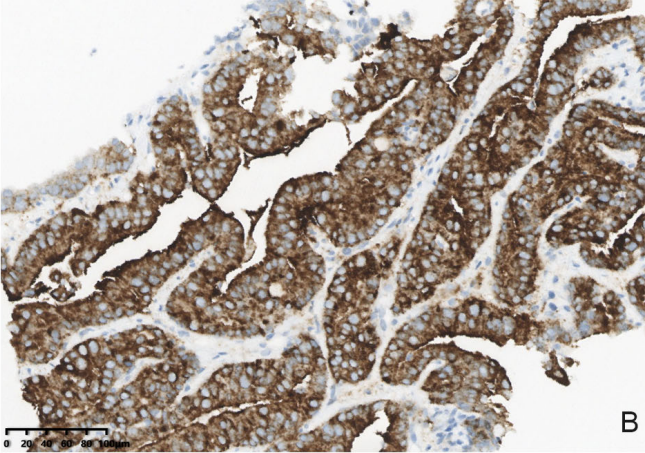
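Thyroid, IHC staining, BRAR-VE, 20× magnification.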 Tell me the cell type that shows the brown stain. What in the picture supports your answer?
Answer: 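Brown stain fills the cytoplasm of the cells lining branching fronds. The thin pale cores between the fronds stay unstained blue. That points to this answer: malignant cells.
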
